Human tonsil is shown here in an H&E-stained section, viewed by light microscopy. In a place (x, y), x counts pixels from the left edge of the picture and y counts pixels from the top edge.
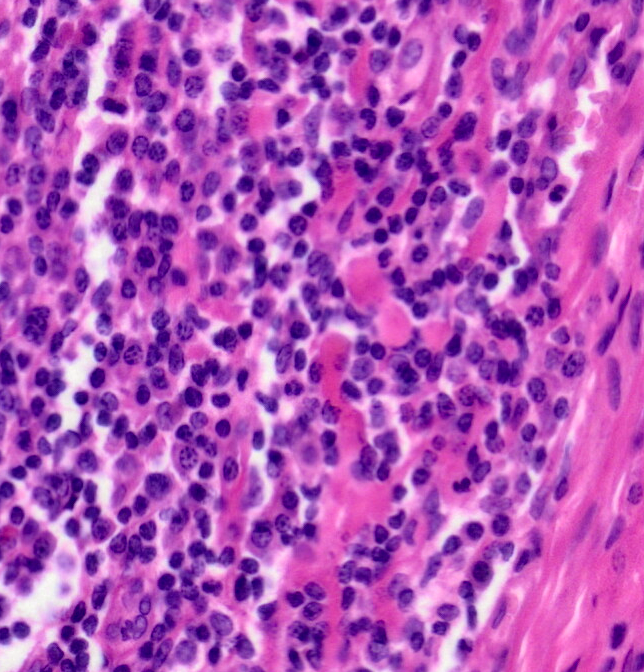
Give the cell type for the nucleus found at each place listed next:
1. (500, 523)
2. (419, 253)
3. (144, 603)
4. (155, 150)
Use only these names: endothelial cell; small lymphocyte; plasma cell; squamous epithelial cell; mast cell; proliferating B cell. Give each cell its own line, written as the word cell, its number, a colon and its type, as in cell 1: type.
cell 1: plasma cell
cell 2: plasma cell
cell 3: endothelial cell
cell 4: plasma cell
